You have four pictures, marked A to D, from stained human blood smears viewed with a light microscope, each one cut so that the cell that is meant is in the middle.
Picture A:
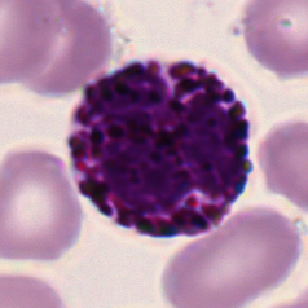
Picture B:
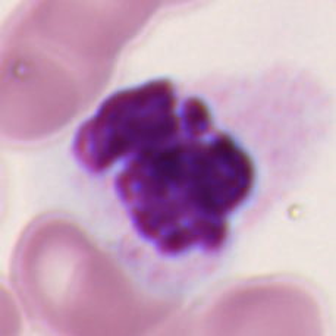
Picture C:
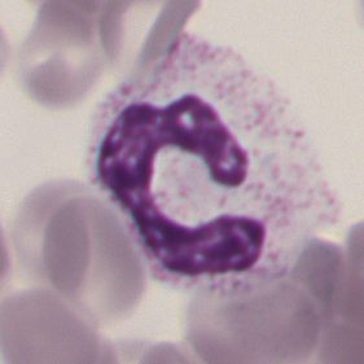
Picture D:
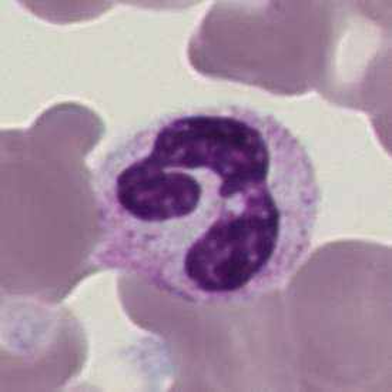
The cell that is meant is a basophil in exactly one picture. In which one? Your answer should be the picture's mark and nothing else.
A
